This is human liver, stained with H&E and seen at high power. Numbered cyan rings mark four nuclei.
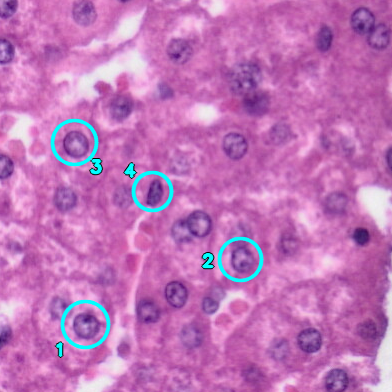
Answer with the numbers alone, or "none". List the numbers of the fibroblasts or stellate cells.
4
